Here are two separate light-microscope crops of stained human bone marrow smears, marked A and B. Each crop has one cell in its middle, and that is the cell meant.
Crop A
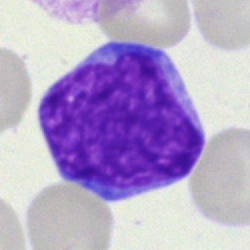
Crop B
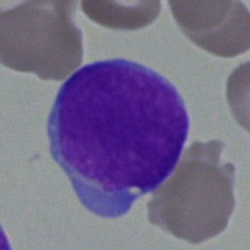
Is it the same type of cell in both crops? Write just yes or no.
yes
